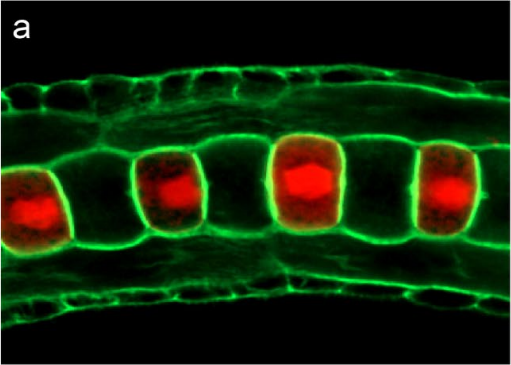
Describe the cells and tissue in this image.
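This is a stretch of a tunicate tadpole's tail, and the large cells in the middle are notochord cells. They are stacked one behind another in a single file, like a column of coins, each spanning the whole width of the central rod. Above and below the notochord lie rows of much smaller cells, and the thin outermost layer is the surface covering of the tail.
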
